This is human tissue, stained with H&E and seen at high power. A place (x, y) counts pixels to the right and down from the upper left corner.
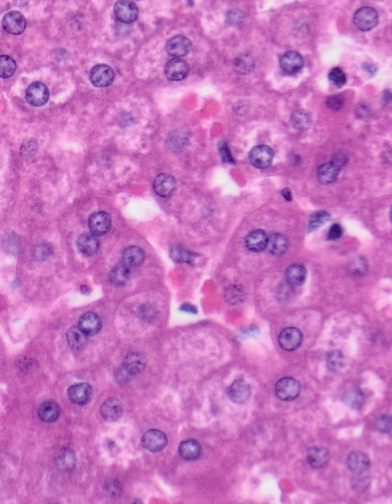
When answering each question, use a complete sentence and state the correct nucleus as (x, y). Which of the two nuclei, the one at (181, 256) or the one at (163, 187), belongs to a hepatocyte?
The nucleus at (163, 187) is attributed to a hepatocyte, unlike the other nucleus.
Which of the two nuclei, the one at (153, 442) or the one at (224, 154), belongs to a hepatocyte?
Which one belongs to a hepatocyte? The nucleus at (153, 442) does.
